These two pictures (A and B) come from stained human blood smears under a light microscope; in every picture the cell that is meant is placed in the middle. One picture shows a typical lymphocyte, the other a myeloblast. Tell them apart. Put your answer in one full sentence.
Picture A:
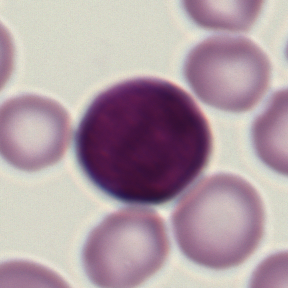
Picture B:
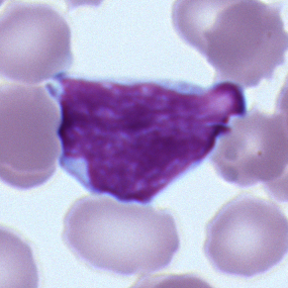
Picture A is of a myeloblast, and picture B is of a typical lymphocyte.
